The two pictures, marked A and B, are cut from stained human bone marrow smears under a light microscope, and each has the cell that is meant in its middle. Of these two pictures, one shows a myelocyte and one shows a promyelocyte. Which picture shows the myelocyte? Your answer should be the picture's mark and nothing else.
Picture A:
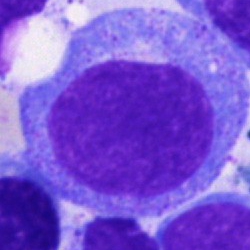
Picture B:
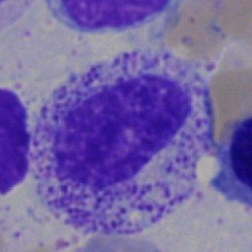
B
